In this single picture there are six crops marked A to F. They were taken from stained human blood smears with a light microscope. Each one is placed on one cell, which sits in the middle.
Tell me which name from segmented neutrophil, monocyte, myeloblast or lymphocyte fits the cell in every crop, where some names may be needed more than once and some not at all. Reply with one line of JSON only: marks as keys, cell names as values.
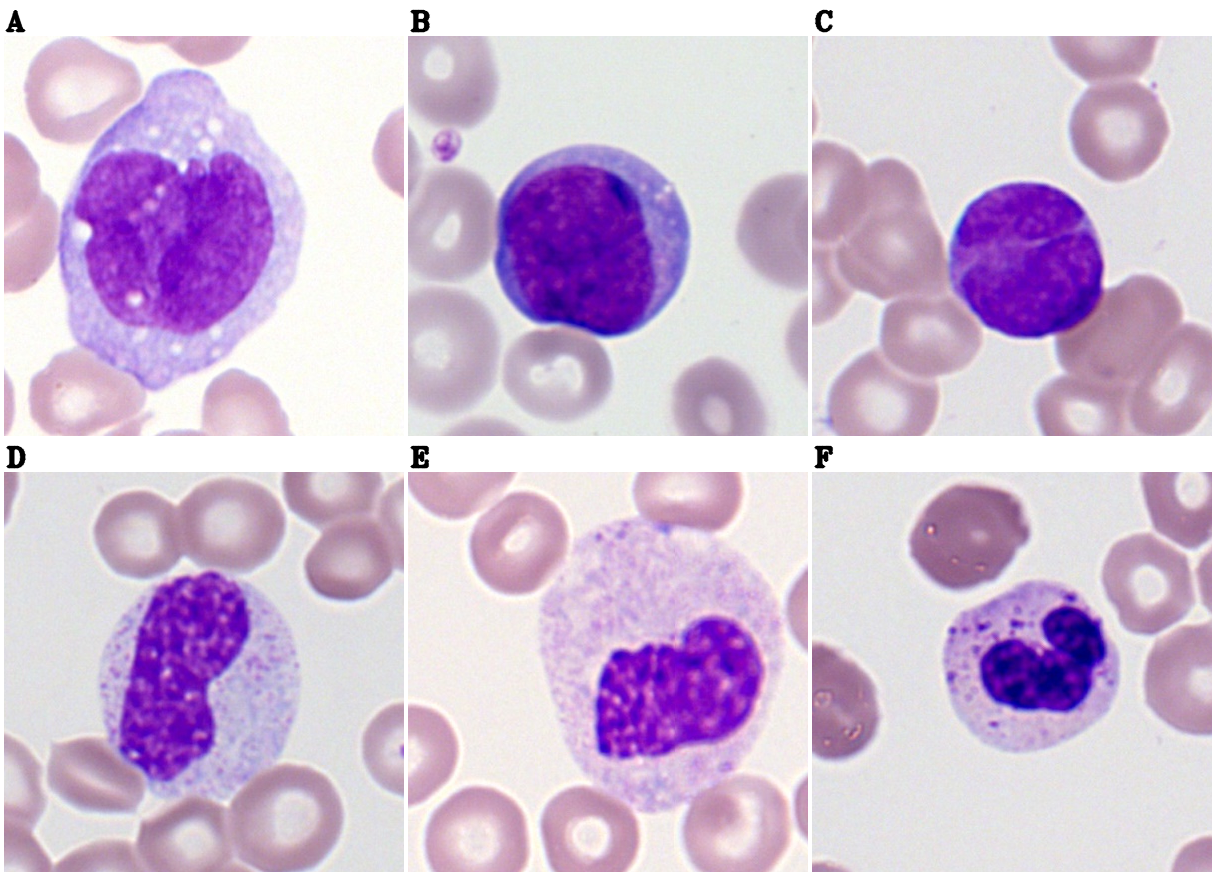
{"A": "monocyte", "B": "myeloblast", "C": "myeloblast", "D": "monocyte", "E": "segmented neutrophil", "F": "segmented neutrophil"}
